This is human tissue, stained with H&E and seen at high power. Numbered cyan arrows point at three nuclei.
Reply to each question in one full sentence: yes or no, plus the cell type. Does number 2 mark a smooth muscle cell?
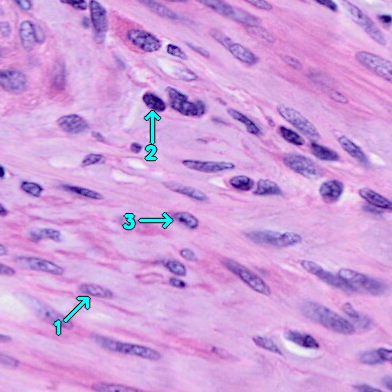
No, the cell carrying number 2 is a lymphocyte, not a smooth muscle cell.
